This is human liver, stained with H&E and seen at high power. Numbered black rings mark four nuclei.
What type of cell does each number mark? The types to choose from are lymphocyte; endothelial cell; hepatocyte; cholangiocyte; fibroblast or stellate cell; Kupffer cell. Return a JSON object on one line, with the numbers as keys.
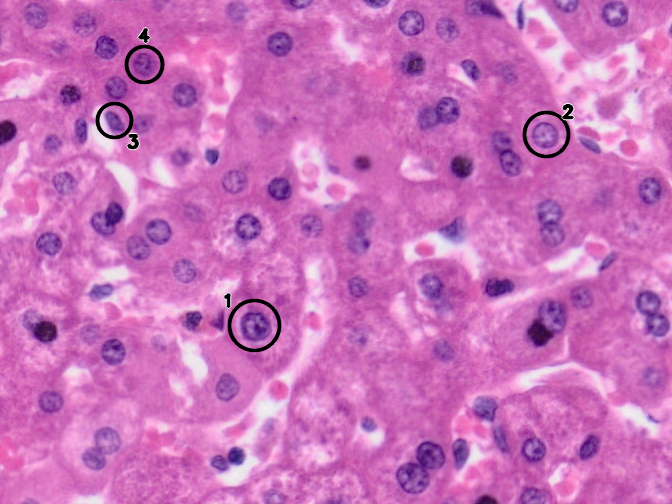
{"1": "hepatocyte", "2": "hepatocyte", "3": "Kupffer cell", "4": "hepatocyte"}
